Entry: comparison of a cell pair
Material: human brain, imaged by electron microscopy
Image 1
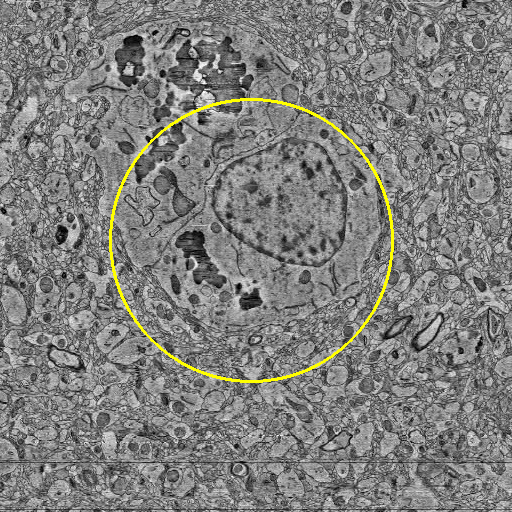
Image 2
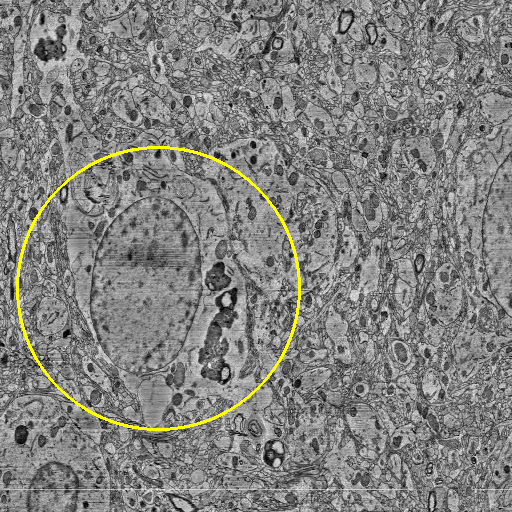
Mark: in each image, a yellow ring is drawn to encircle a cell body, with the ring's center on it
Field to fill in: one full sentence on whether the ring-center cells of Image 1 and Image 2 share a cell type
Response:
Yes, Image 1 and Image 2 each show a ring-center cell of one shared type.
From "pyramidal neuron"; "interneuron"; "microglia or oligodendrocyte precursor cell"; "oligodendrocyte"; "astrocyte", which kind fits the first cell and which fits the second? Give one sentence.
Each cell at the centre of a ring is an astrocyte.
